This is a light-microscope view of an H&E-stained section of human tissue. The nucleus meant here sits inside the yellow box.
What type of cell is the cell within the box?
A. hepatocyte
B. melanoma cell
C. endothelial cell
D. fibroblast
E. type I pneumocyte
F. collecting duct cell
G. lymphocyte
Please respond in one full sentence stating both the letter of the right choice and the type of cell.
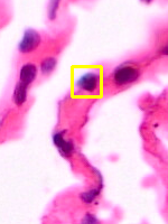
Among the choices, option E is correct, the cell within the box being a type I pneumocyte.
